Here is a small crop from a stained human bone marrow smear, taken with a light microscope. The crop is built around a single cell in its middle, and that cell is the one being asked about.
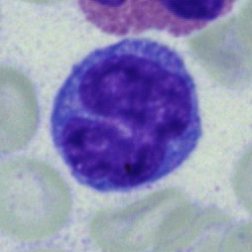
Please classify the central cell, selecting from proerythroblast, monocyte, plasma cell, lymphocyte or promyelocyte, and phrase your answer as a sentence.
The cell under consideration, at the middle of the crop, is a monocyte.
